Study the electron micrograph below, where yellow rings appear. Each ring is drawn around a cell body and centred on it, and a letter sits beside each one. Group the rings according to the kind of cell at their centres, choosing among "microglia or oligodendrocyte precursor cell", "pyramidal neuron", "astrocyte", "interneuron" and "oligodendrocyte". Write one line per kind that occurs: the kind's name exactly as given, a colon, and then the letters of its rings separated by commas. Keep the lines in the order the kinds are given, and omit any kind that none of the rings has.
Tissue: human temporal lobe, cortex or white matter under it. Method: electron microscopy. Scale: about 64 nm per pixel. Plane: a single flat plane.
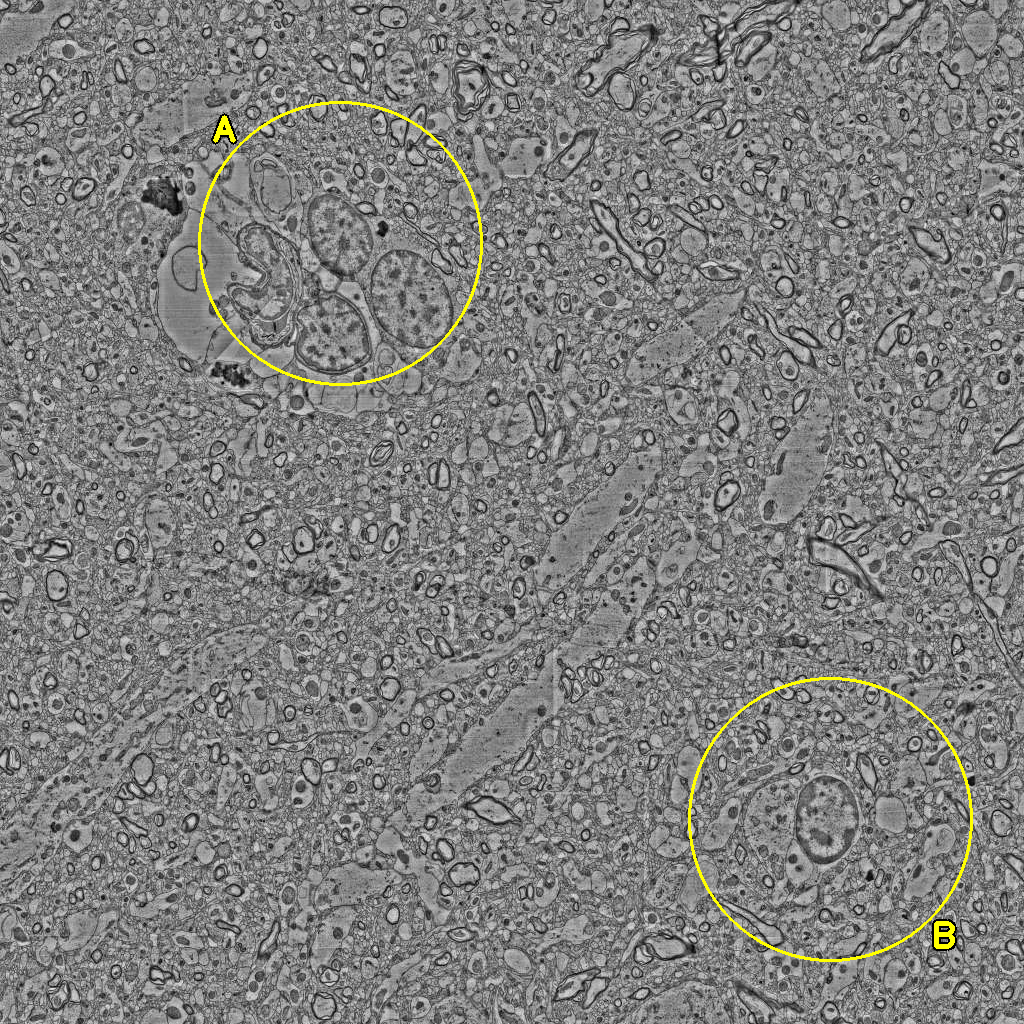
microglia or oligodendrocyte precursor cell: B
oligodendrocyte: A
